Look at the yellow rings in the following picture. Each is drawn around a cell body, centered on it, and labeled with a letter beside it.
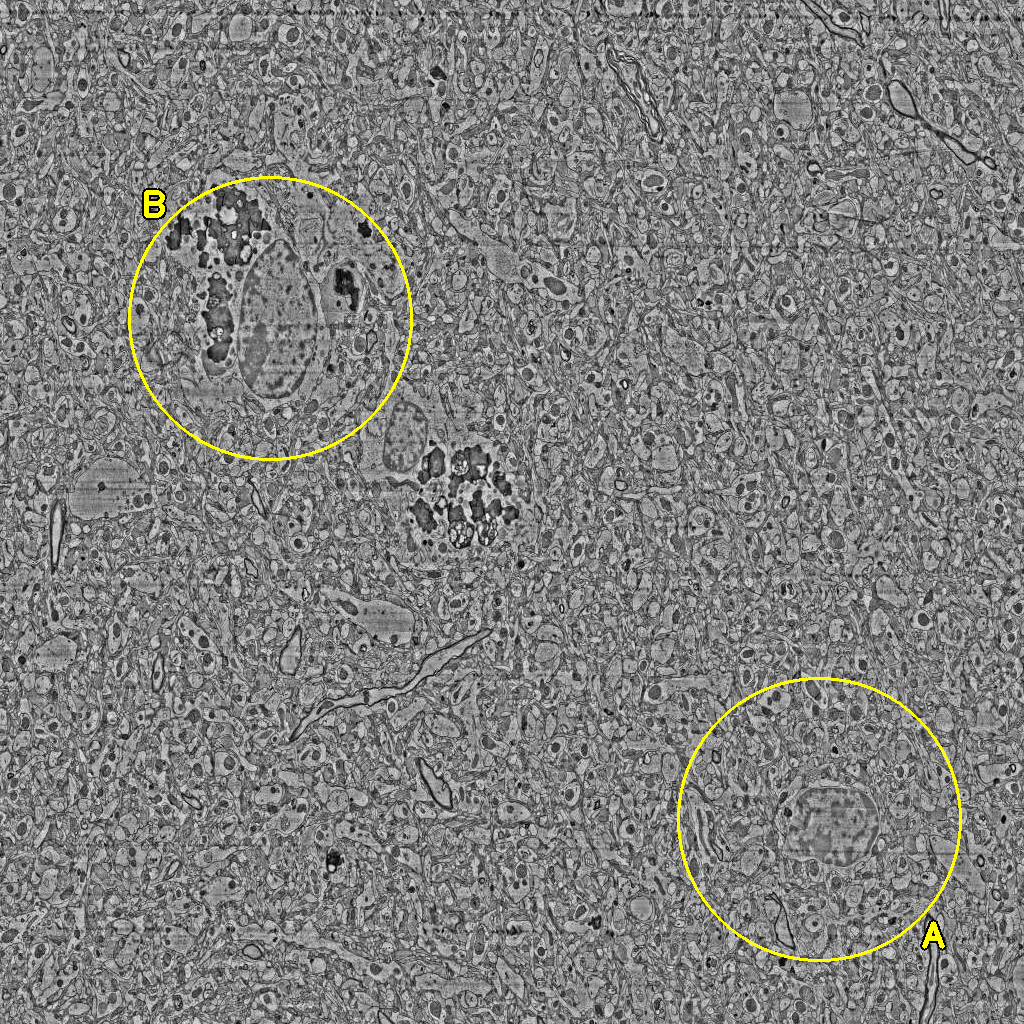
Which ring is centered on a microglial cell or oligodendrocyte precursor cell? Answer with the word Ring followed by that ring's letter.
Ring A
